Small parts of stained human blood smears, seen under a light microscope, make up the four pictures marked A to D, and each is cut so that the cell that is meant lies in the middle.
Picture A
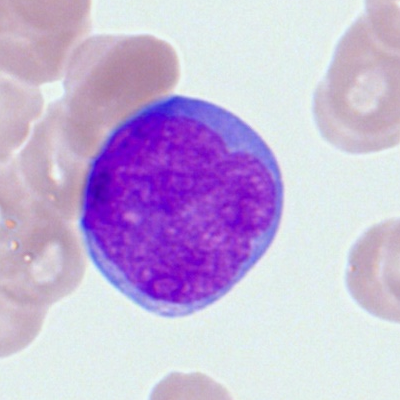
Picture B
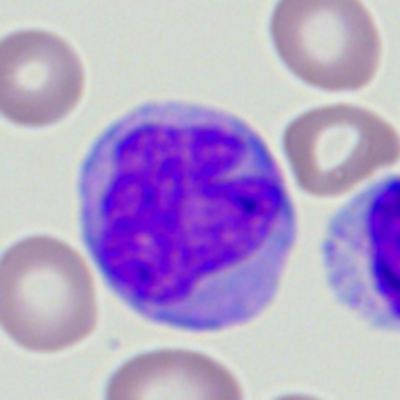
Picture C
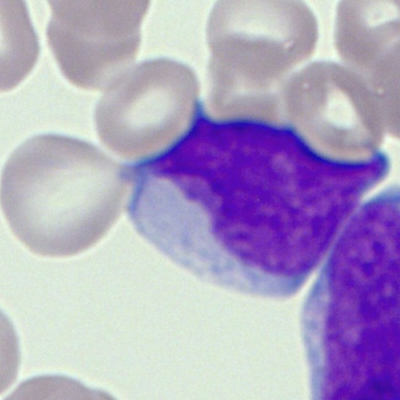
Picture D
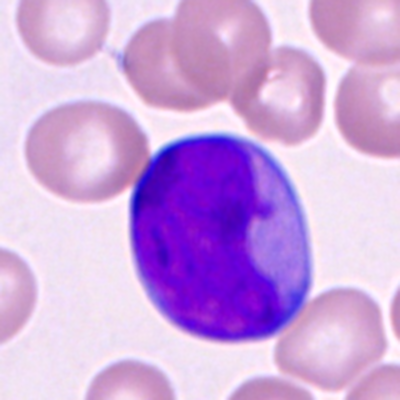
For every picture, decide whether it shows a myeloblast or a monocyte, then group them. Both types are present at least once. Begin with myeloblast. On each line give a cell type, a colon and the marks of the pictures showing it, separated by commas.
myeloblast: A, C, D
monocyte: B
